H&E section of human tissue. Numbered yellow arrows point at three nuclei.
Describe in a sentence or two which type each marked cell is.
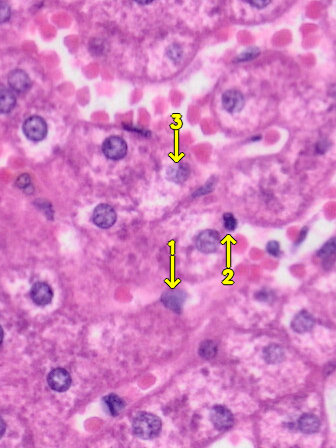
Cell 1 is an endothelial cell. Cell 2 is a lymphocyte. Cell 3 is a hepatocyte.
